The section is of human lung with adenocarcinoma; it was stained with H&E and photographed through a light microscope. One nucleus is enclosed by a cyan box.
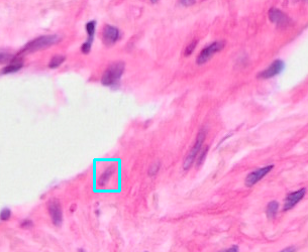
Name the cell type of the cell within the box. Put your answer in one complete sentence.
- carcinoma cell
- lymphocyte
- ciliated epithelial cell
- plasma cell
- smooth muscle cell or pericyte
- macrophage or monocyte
Recorded by type, the cell within the box is a smooth muscle cell or pericyte.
